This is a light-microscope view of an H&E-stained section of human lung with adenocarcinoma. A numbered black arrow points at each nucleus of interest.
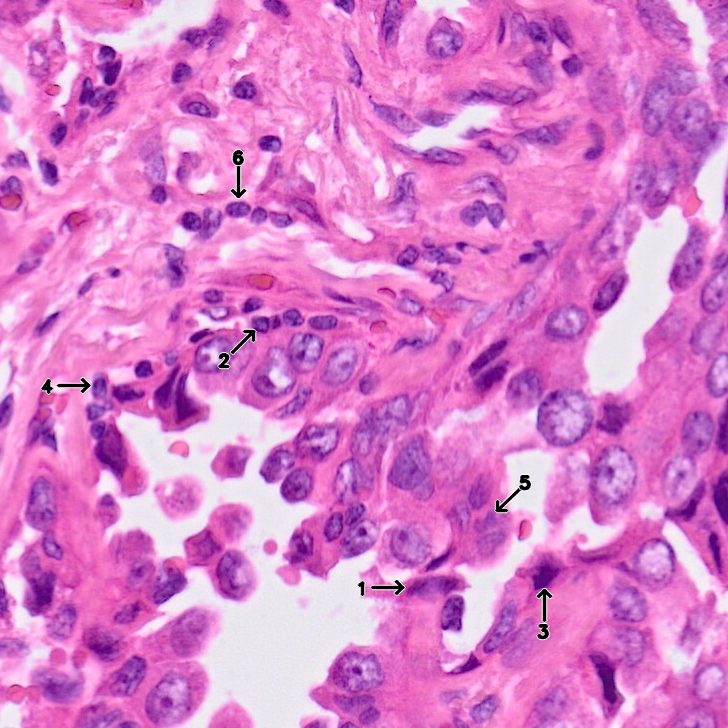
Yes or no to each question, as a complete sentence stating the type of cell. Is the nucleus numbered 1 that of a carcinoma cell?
Yes, for number 1, the cell is a carcinoma cell.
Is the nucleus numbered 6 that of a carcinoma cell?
No, cell 6 is not a carcinoma cell, but is instead a lymphocyte.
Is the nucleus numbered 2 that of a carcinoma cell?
No, cell 2 is not to be taken for a carcinoma cell; it is a lymphocyte.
